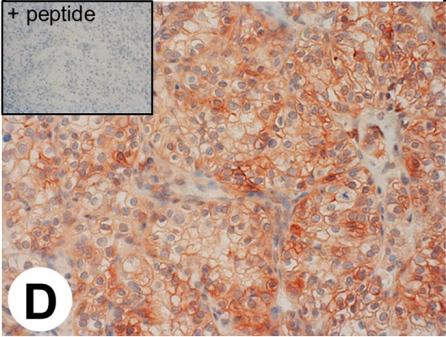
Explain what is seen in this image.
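Carcinoma of closely packed polygonal tumour cells with round blue nuclei and pale cytoplasm. A crisp red-brown outline rims nearly every cell membrane, giving a honeycomb pattern. The cells form nests divided by thin fibrovascular septa.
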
